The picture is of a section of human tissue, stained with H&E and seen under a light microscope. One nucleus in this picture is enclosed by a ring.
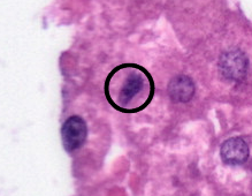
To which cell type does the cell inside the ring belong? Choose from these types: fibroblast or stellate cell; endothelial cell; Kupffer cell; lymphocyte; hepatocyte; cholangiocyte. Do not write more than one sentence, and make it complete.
In cell-type terms, the cell inside the ring is a fibroblast or stellate cell.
